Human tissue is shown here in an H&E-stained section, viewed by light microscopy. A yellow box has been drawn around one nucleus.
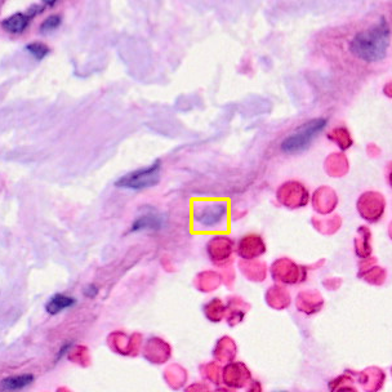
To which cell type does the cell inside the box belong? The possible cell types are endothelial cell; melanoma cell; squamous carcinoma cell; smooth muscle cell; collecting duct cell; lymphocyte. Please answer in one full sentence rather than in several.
It is as an endothelial cell that the cell inside the box is recorded.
